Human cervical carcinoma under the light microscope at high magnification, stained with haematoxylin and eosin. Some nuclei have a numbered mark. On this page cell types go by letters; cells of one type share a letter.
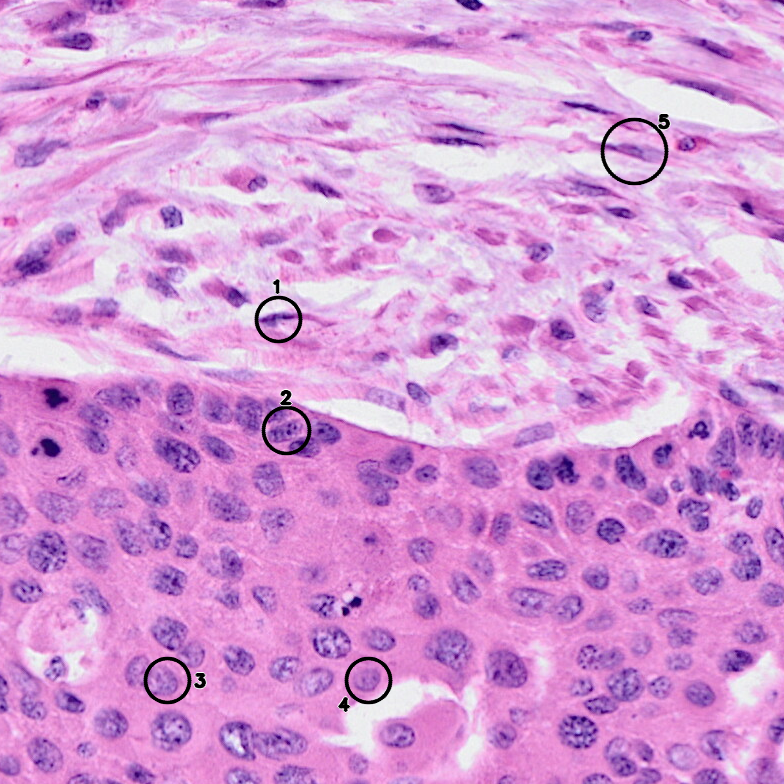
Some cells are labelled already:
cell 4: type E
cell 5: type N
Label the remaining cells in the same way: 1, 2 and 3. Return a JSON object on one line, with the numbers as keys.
{"1": "type N", "2": "type E", "3": "type E"}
